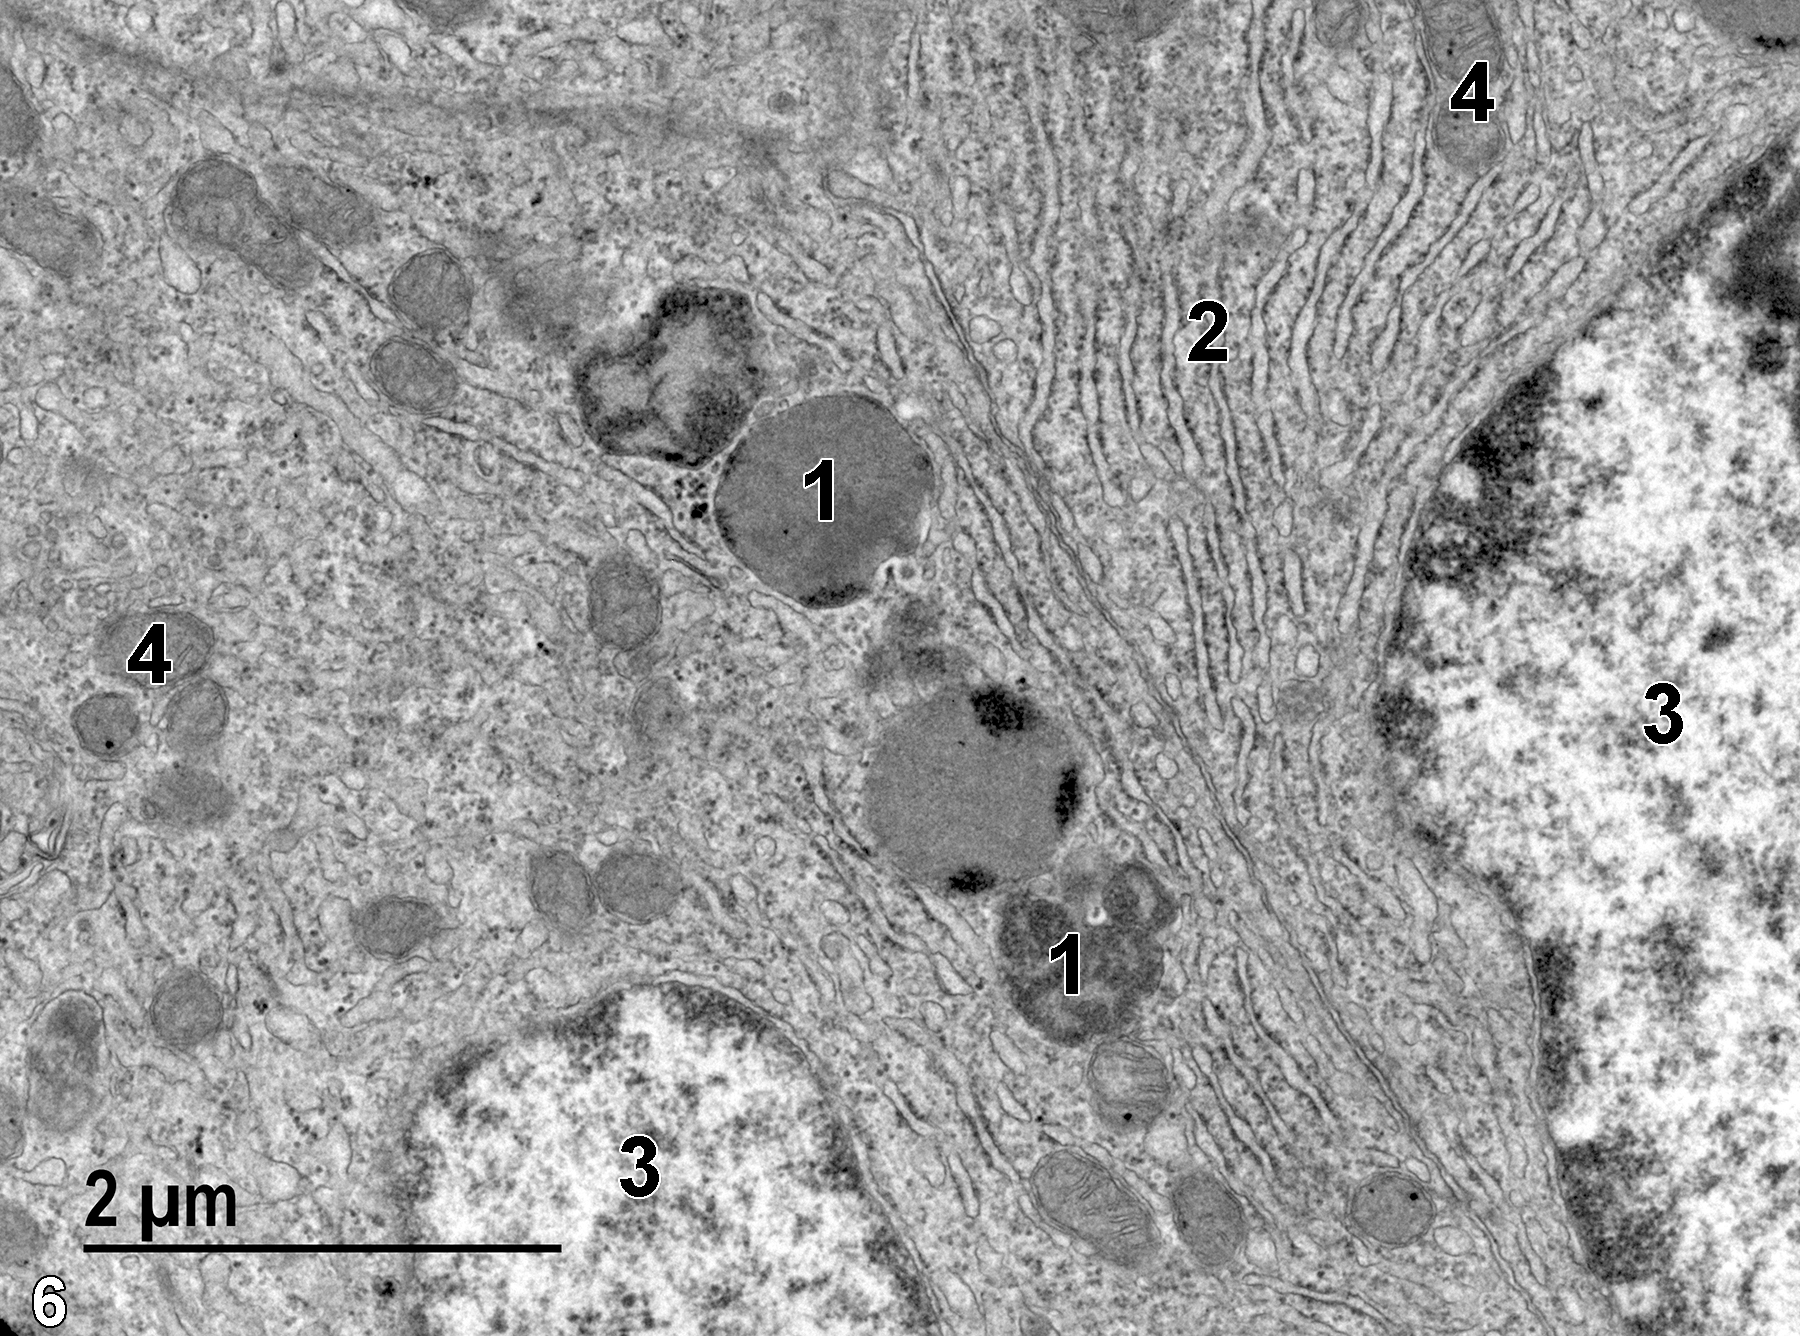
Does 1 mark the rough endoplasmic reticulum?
No, 1 marks the lysosomes.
